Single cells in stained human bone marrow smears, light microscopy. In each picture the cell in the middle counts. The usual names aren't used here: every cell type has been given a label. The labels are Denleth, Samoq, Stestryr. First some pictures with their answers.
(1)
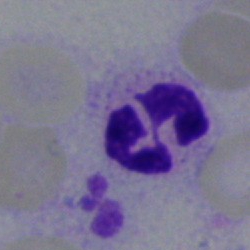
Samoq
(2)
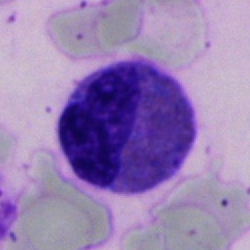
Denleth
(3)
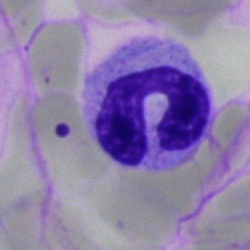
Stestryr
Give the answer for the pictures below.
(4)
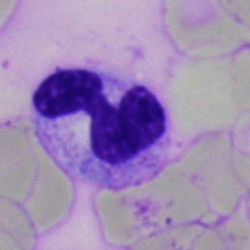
Samoq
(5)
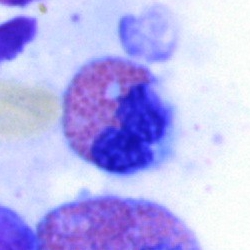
Denleth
